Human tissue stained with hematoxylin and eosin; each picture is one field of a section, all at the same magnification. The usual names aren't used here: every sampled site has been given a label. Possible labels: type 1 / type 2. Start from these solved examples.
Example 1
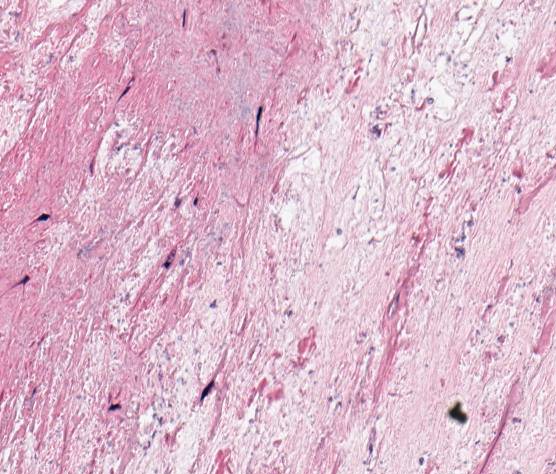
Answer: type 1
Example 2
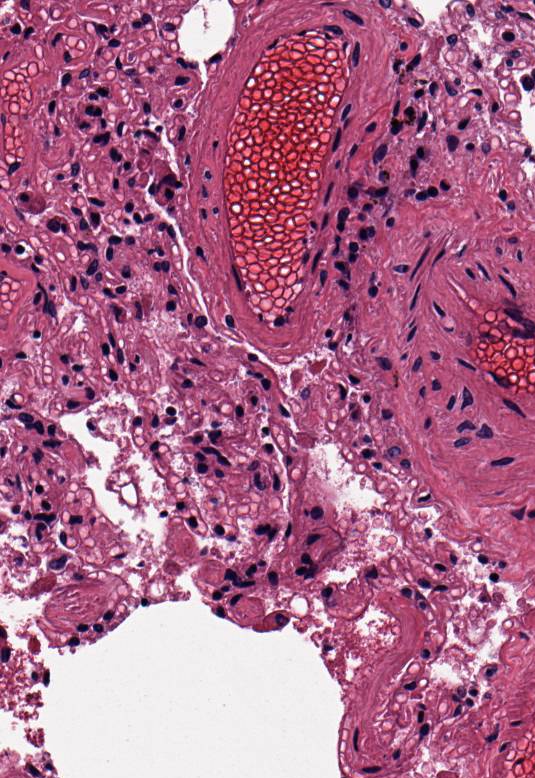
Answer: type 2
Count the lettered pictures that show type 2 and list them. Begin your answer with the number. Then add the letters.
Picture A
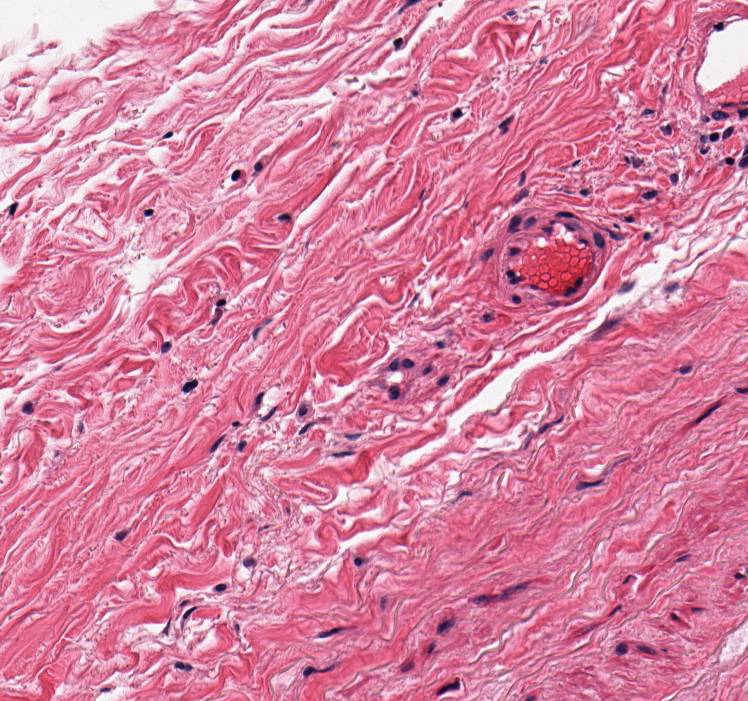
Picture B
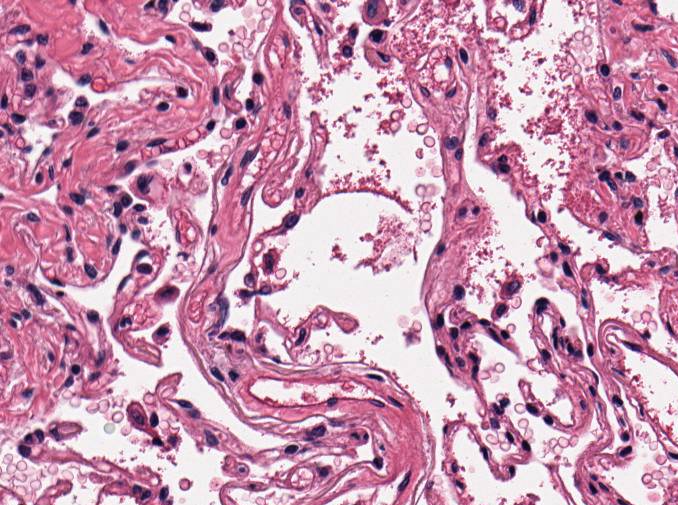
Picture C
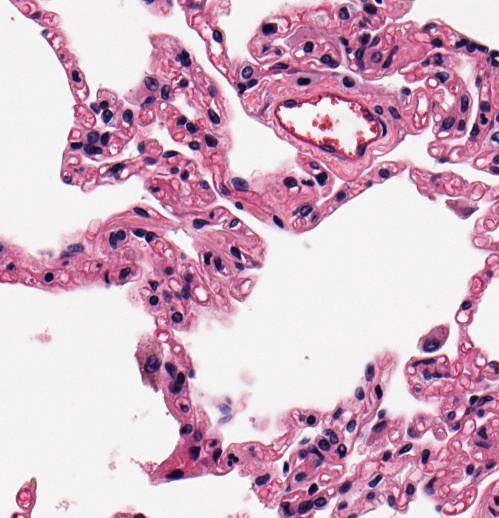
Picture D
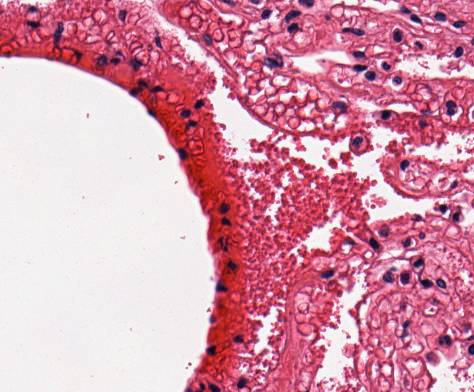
Count: 3 (B, C, D)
